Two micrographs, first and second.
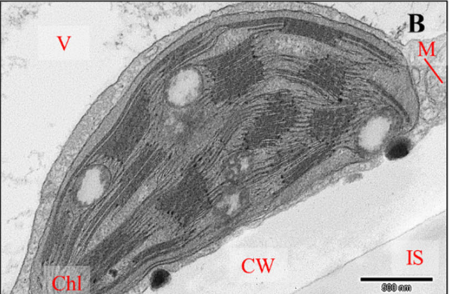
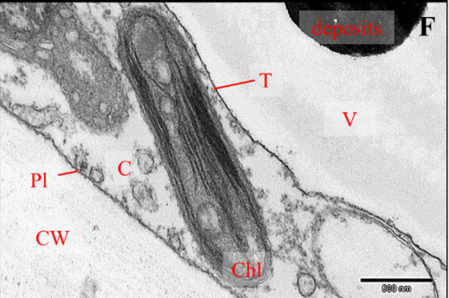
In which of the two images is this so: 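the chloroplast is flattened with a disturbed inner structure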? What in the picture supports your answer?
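Second image: the chloroplast is a thin elongated band with loosely arranged inner membranes. First image: the chloroplast is broad and lens-shaped with orderly stacked inner membranes. That points to this answer: the second image.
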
